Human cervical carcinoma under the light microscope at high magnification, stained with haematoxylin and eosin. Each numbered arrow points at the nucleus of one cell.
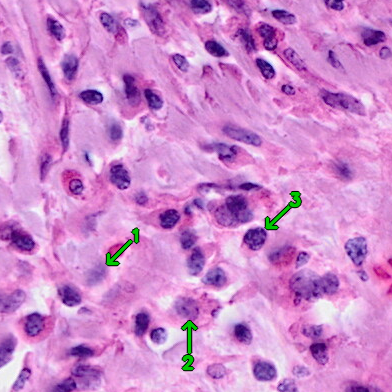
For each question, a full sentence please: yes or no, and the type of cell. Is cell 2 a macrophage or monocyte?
Yes, the cell numbered 2 in this tissue is a macrophage or monocyte.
